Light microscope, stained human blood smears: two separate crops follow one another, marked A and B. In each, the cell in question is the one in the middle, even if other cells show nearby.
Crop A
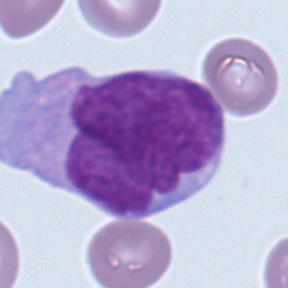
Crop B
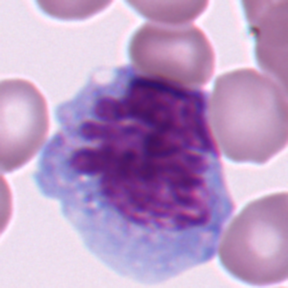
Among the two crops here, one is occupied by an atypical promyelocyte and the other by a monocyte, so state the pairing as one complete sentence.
Crop A holds an atypical promyelocyte; crop B holds a monocyte.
